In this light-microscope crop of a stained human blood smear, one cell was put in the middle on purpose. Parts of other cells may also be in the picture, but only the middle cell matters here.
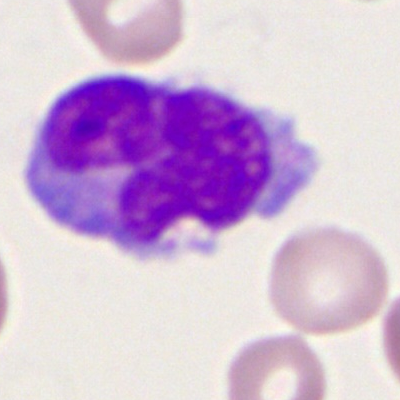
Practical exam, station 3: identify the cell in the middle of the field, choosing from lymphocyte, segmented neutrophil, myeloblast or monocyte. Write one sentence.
The centered cell in this crop is a monocyte.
